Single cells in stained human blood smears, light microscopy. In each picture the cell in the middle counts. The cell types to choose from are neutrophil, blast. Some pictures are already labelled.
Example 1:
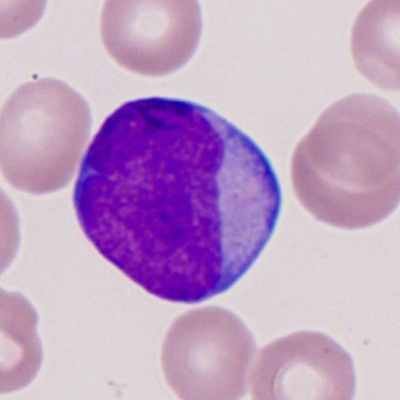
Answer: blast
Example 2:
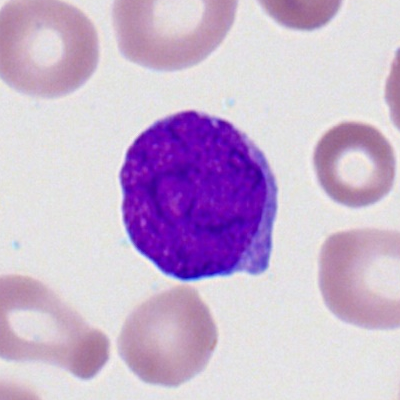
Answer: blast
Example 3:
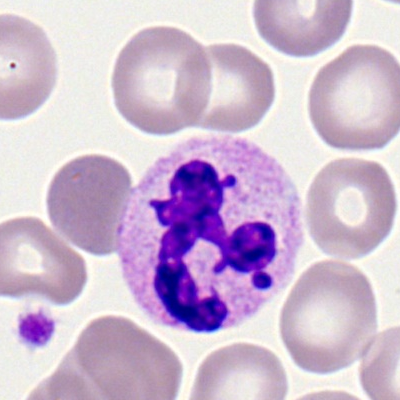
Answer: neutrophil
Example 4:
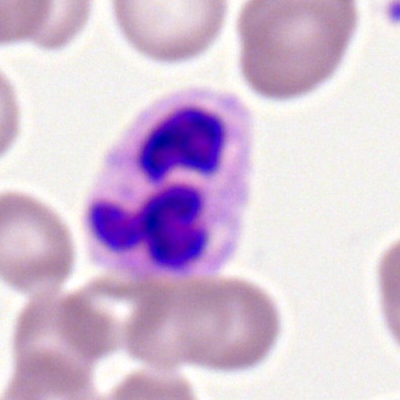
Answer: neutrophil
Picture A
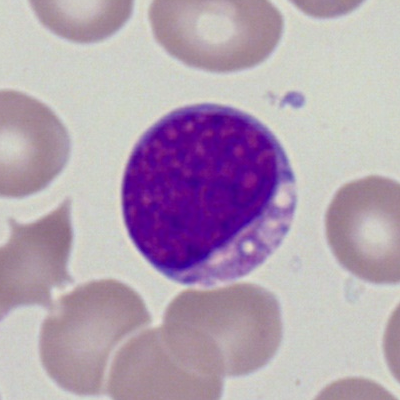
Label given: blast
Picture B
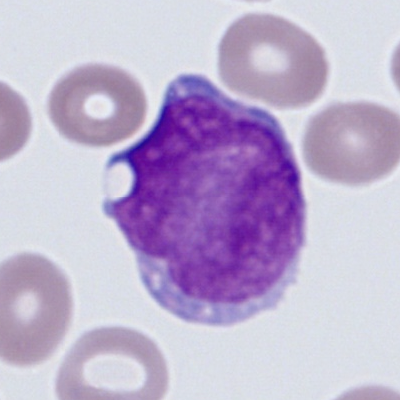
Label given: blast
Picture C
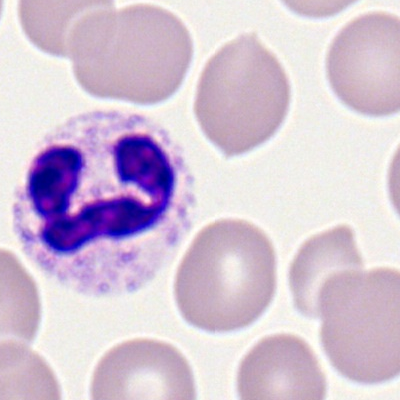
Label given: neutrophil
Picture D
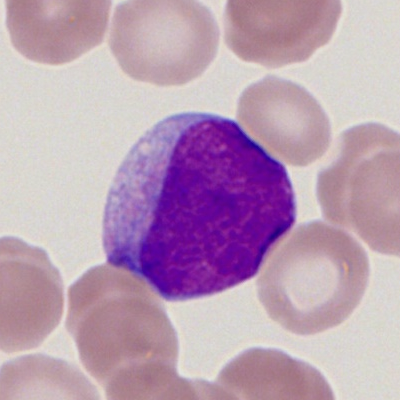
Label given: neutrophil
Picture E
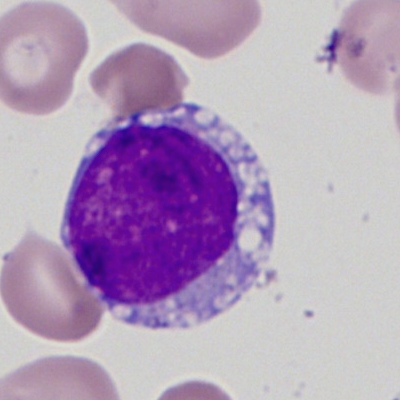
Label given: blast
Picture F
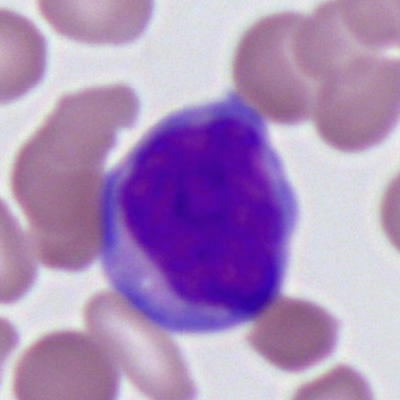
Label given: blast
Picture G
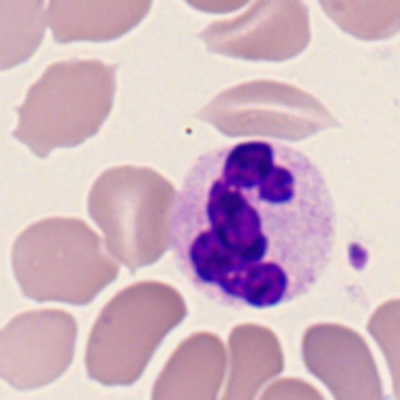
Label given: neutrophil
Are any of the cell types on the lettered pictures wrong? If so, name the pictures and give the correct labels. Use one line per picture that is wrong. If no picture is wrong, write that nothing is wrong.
D: not neutrophil but blast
